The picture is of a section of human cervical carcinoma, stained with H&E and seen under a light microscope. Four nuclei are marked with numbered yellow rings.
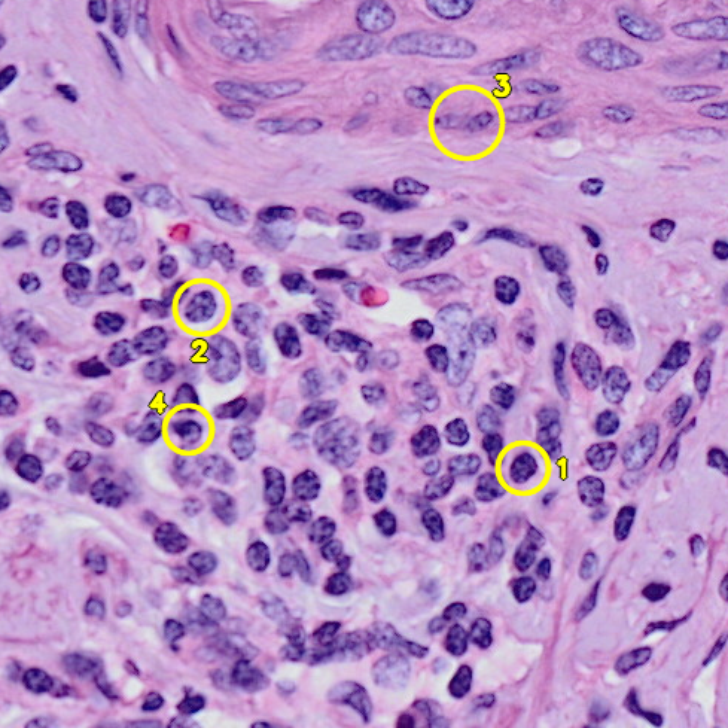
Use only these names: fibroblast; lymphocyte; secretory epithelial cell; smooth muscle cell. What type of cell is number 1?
lymphocyte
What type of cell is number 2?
lymphocyte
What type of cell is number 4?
lymphocyte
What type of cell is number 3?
smooth muscle cell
